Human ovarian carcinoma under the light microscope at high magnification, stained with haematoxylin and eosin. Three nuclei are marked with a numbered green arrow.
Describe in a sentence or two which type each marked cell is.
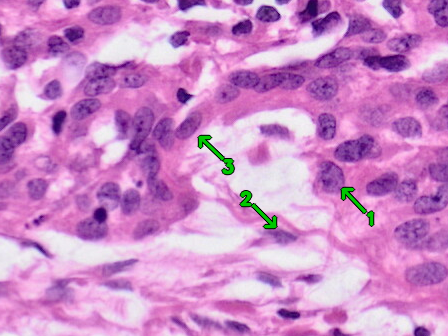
Cell 1 is a carcinoma cell, cell 2 is a fibroblast and cell 3 is a carcinoma cell.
